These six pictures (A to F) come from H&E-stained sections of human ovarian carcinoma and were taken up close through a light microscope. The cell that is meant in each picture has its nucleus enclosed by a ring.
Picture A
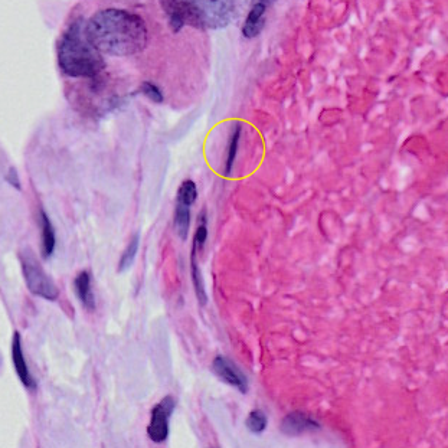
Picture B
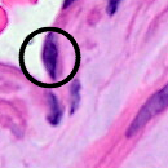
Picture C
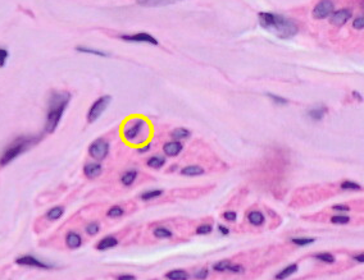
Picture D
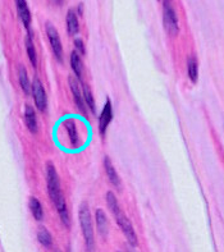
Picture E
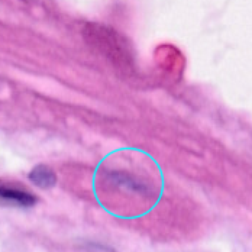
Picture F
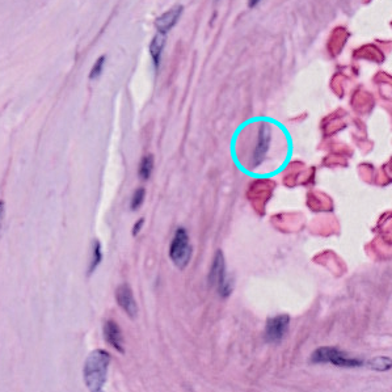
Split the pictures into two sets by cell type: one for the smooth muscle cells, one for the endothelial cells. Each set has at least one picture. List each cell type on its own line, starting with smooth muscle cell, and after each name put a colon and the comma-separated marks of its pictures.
smooth muscle cell: C, D, E
endothelial cell: A, B, F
